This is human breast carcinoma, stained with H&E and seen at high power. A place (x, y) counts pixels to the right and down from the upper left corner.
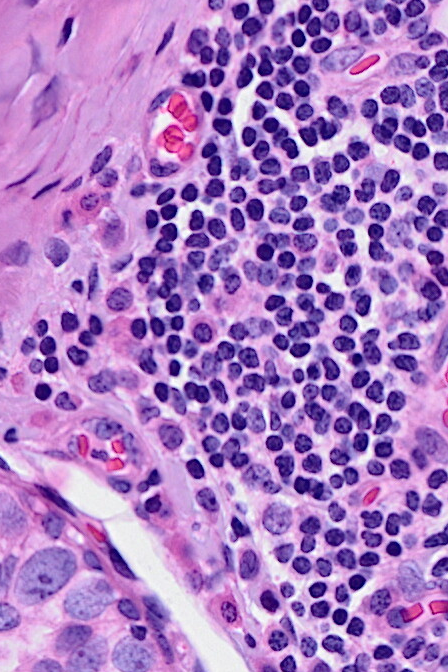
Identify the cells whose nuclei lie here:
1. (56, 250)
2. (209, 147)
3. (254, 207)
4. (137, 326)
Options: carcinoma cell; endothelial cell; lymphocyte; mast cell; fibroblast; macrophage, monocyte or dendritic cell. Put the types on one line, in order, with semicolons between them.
fibroblast; lymphocyte; lymphocyte; lymphocyte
